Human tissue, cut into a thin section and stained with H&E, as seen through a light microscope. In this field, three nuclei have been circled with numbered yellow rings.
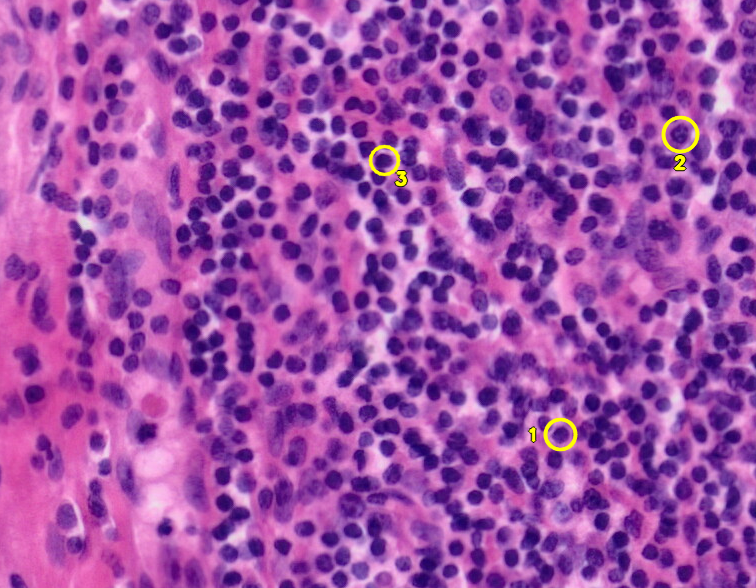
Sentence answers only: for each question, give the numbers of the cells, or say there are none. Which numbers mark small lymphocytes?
The cells which carry the numbers 1 and 3 are small lymphocytes.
